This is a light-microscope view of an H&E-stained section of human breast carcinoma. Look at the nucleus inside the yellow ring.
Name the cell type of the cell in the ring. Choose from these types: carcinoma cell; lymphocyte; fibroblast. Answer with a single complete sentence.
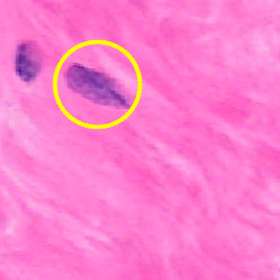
The cell in the ring is a fibroblast.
